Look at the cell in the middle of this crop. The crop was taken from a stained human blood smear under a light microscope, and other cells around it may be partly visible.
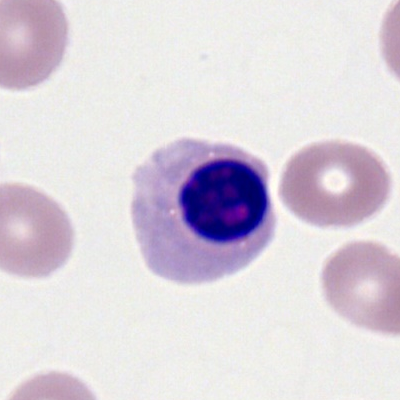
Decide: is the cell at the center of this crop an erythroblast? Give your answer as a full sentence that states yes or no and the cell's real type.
Yes, the centred cell is categorised as an erythroblast.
